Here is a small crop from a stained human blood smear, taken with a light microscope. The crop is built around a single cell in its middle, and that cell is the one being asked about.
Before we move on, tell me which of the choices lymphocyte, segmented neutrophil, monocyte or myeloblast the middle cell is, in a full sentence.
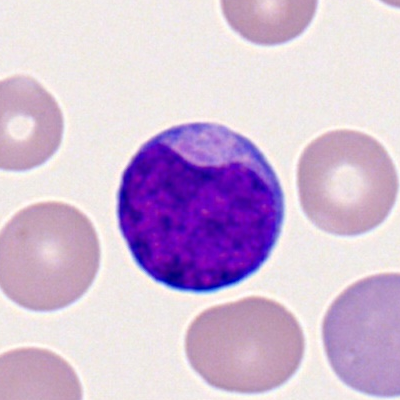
By classification, the middle cell of this crop is a myeloblast.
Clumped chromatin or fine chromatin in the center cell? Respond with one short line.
Take a look at the chromatin, which is coarsely clumped.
